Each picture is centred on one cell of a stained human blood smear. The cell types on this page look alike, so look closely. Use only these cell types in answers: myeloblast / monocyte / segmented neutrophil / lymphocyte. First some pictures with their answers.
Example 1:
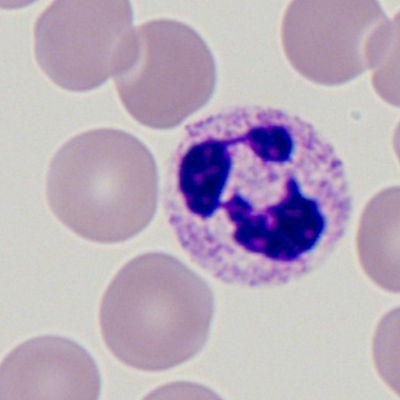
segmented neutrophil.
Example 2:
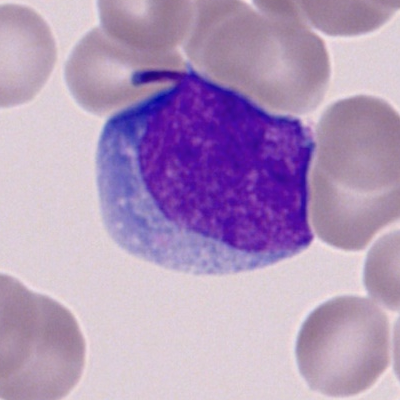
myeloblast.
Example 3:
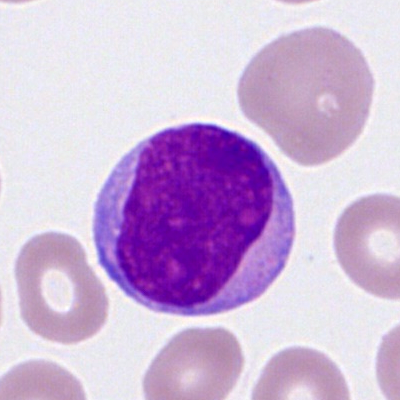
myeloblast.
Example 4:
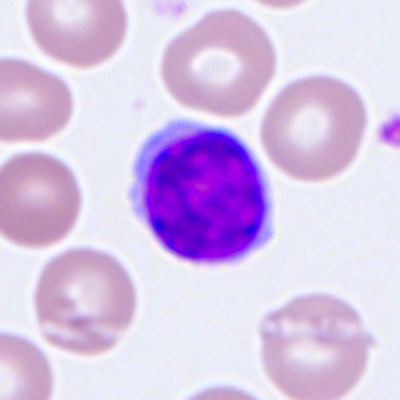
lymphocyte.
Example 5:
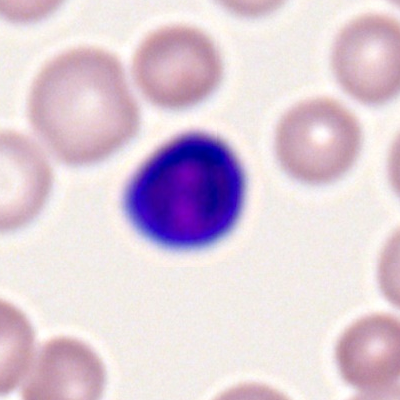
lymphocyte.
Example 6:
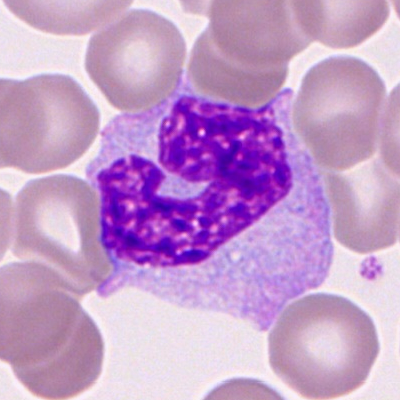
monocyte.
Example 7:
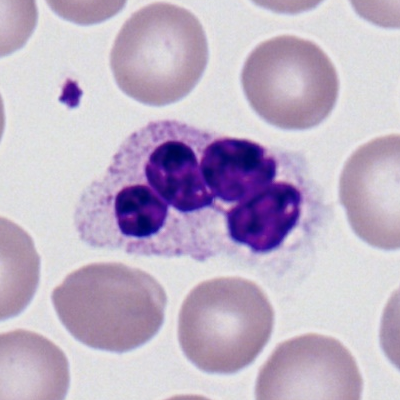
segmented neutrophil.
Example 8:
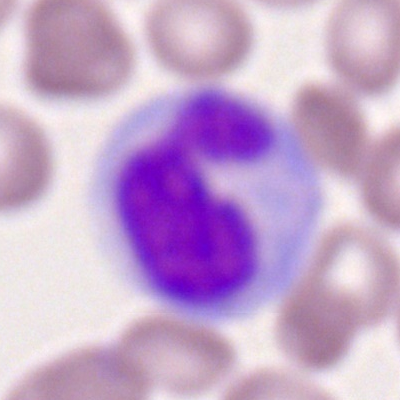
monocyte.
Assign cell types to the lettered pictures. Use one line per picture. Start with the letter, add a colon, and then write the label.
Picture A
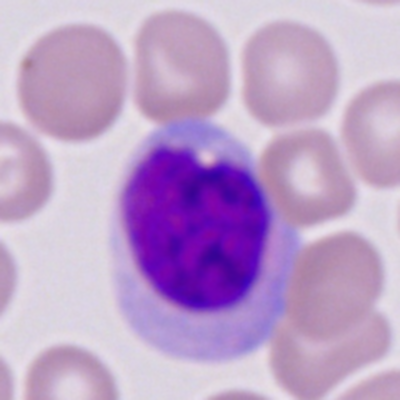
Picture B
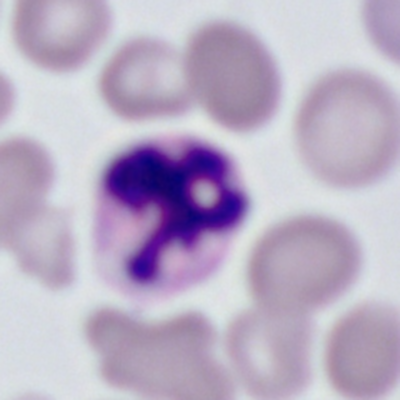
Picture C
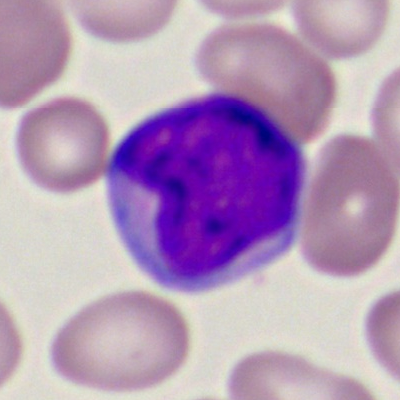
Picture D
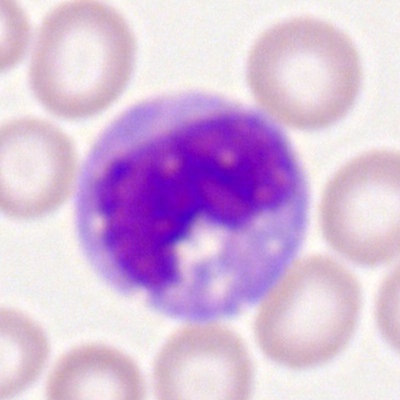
A: monocyte.
B: segmented neutrophil.
C: myeloblast.
D: monocyte.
